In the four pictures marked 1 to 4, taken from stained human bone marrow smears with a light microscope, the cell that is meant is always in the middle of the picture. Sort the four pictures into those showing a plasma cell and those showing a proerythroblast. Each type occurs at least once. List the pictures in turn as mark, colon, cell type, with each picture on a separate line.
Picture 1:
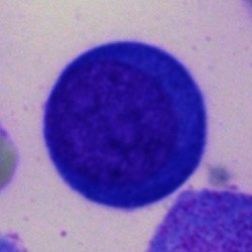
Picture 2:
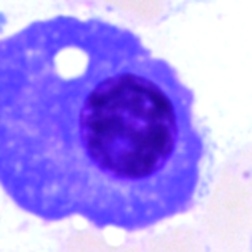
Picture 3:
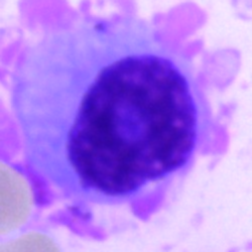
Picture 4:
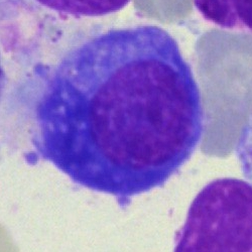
1: proerythroblast
2: plasma cell
3: plasma cell
4: plasma cell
